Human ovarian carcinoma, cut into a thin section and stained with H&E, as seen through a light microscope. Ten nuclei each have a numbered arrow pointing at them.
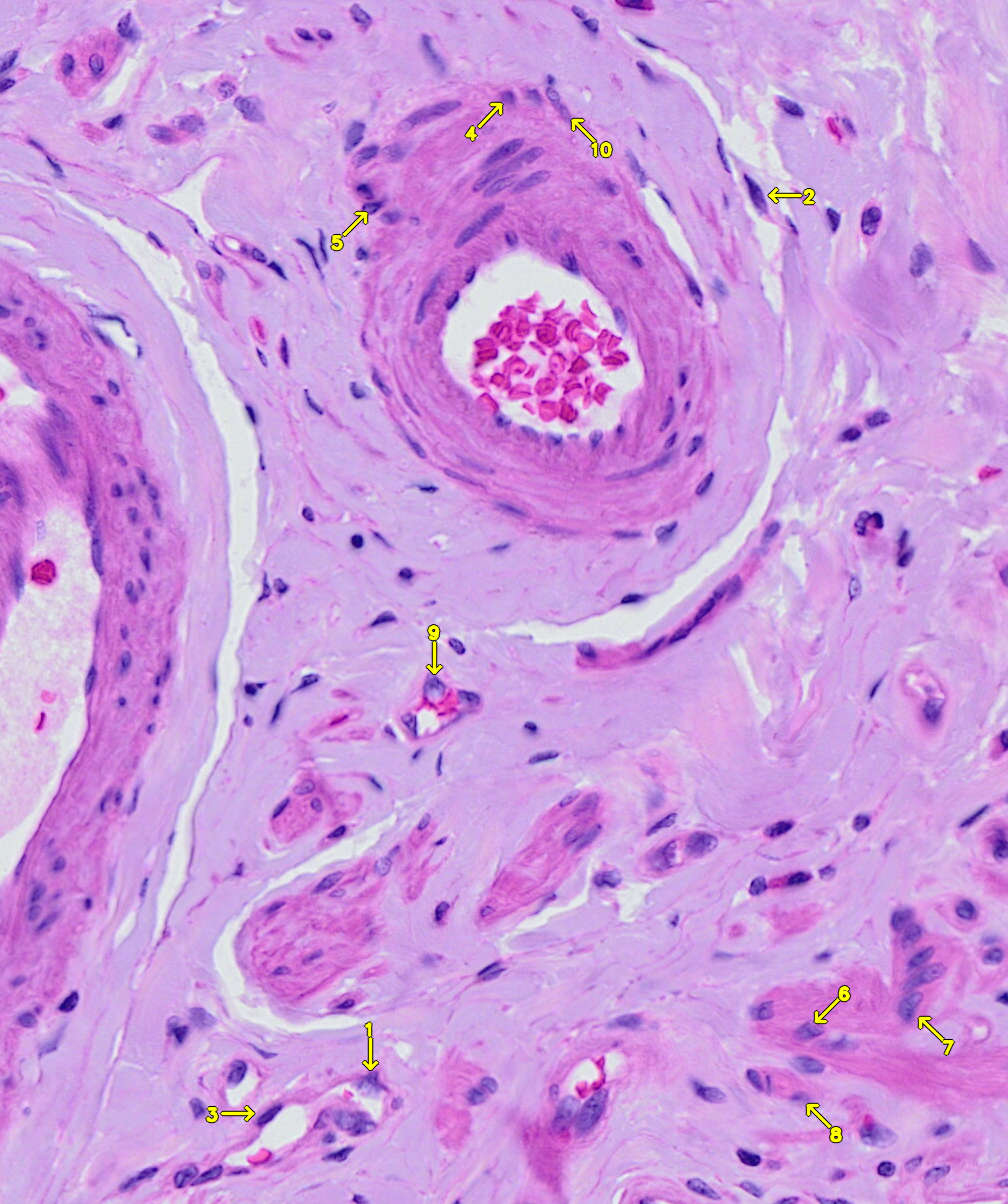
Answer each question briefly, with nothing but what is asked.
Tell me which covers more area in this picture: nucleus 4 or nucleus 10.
10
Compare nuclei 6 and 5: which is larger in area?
6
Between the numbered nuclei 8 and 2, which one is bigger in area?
2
